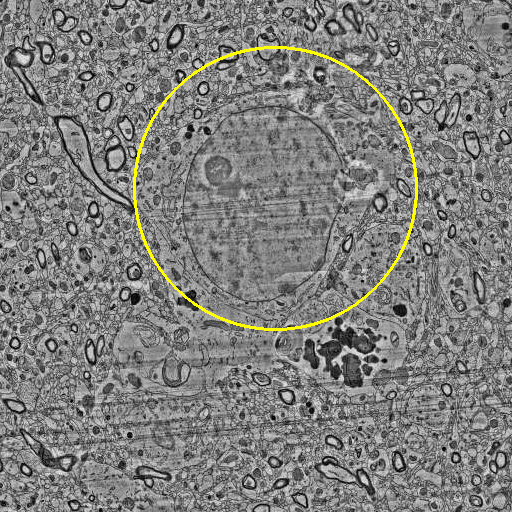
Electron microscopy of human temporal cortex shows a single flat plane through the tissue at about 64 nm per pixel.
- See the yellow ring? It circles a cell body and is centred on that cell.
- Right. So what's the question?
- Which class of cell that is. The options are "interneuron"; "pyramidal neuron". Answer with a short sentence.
The centre of the ring holds a pyramidal neuron.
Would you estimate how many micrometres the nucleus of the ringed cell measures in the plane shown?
Roughly 13 by 10 micrometres is the size of the nucleus in this plane.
